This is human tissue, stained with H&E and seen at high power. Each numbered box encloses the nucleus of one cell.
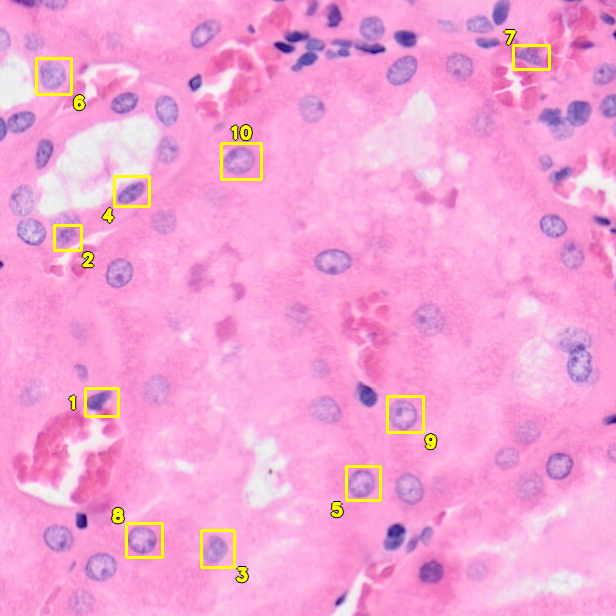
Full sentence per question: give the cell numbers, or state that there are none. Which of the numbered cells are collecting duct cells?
Cells 2 and 6 in the section are typed as collecting duct cells.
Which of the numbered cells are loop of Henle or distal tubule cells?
Cell 4 is a loop of Henle or distal tubule cell; the remaining numbered cells are not.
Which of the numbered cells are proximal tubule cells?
In short, the numbered cells 3, 5, 8, 9 and 10 are proximal tubule cells.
